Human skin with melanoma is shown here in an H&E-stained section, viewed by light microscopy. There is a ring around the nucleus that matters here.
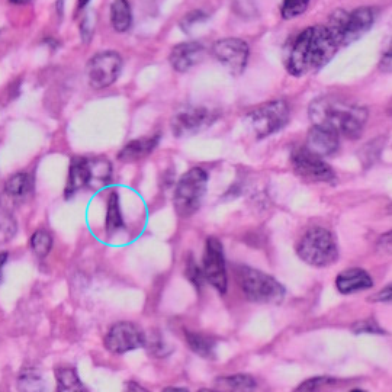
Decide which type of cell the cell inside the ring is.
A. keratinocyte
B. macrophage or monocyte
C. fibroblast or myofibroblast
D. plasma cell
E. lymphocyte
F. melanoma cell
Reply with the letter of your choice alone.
F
